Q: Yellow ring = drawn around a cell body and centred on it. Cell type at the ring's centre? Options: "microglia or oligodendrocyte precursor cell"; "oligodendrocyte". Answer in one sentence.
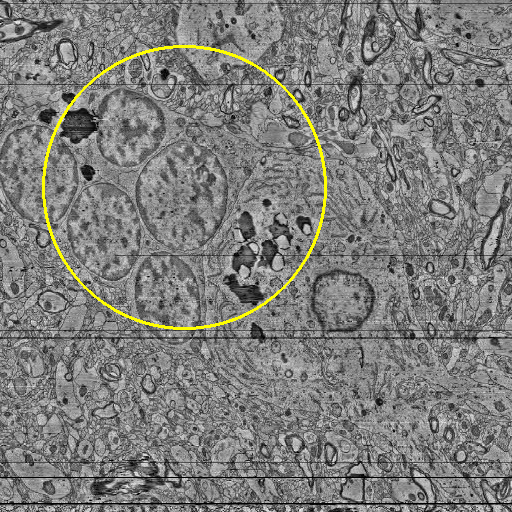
Centred in the ring is an oligodendrocyte.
